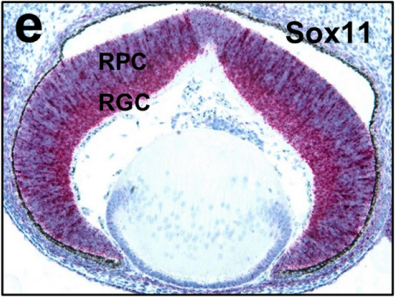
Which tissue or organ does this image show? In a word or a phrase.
Retina.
